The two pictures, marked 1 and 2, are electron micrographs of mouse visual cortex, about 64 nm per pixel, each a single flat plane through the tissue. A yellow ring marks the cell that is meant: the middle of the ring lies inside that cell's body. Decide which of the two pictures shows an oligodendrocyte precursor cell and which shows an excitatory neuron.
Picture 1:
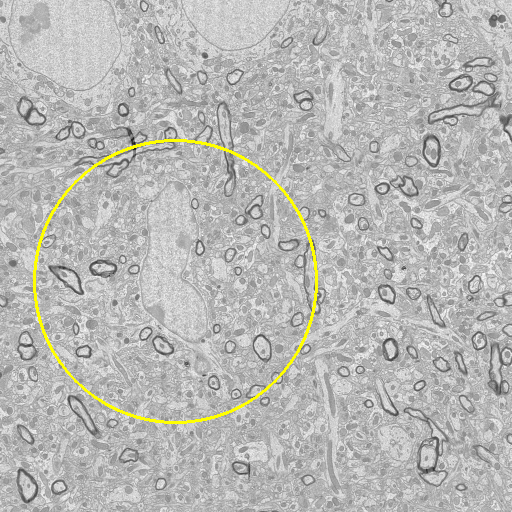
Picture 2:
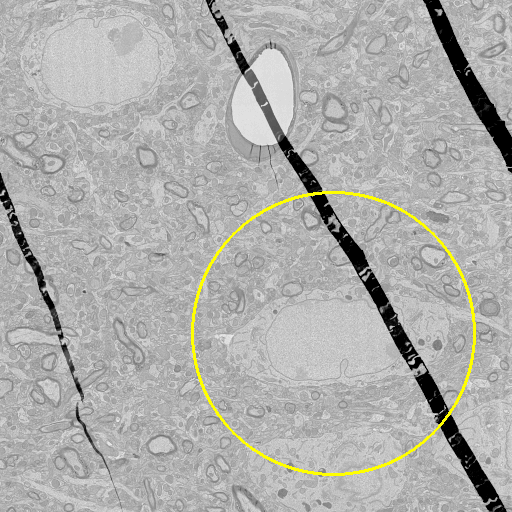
In picture 1 the cell is an oligodendrocyte precursor cell; in picture 2, an excitatory neuron.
